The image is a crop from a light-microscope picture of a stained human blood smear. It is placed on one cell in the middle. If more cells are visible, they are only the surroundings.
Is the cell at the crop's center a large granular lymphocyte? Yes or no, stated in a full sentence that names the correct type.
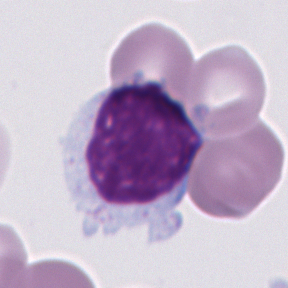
Yes, the cell sitting in the middle of this smear crop is a large granular lymphocyte.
